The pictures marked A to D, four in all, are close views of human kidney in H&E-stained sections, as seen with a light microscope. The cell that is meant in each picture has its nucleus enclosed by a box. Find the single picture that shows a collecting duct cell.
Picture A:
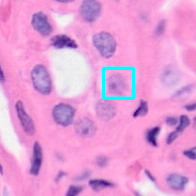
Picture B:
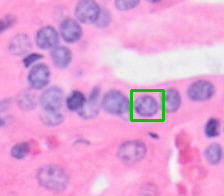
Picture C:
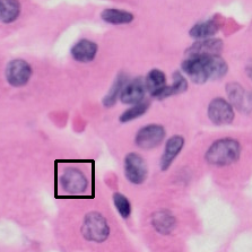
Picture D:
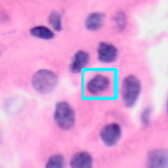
B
